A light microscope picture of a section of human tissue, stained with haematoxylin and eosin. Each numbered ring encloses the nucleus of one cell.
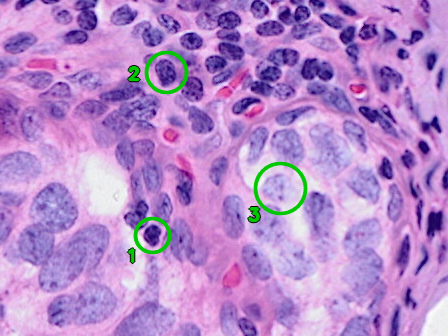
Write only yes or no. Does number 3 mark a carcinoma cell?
yes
